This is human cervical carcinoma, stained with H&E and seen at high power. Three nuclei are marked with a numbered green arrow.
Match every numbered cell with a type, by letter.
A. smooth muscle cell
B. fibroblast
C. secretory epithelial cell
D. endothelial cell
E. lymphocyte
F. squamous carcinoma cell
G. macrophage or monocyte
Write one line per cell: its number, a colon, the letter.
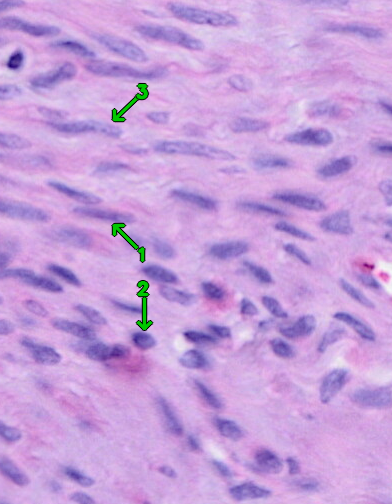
1: A
2: B
3: A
